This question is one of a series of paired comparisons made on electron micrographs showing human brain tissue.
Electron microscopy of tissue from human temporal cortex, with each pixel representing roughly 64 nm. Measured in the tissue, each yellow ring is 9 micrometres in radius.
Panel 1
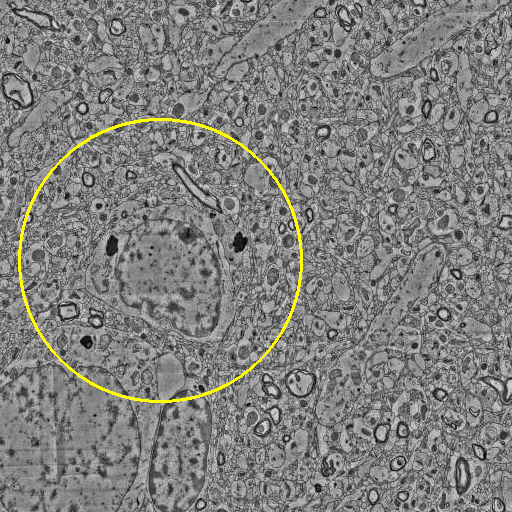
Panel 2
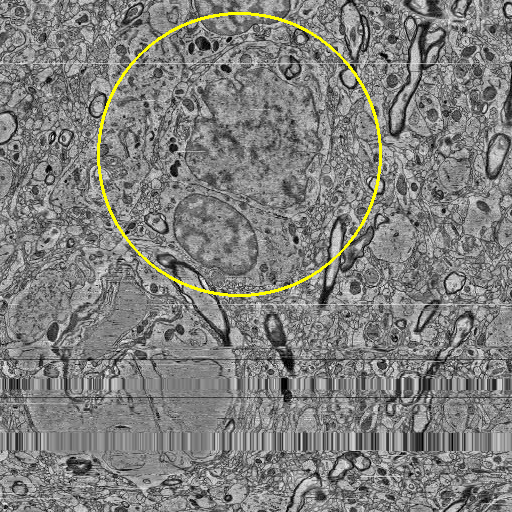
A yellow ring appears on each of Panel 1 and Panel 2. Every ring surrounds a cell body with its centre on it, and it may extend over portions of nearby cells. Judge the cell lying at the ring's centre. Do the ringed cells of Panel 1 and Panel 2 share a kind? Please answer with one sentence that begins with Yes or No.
Yes, the ring-centre cell in Panel 1 and the one in Panel 2 are of one kind.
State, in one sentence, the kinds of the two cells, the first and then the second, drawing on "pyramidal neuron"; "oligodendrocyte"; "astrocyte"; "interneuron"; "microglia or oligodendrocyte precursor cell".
Each cell, in the first picture and the second, is an interneuron.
